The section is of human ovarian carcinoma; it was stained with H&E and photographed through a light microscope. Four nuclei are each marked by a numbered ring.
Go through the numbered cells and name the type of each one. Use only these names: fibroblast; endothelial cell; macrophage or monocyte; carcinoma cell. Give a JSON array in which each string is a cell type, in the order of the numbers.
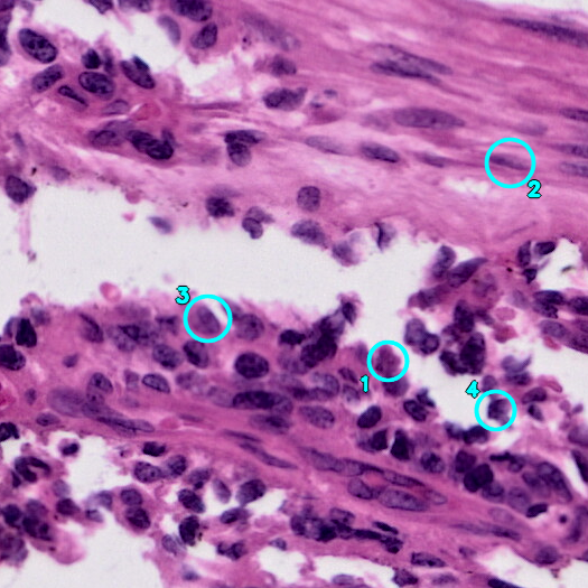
["carcinoma cell", "fibroblast", "carcinoma cell", "carcinoma cell"]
